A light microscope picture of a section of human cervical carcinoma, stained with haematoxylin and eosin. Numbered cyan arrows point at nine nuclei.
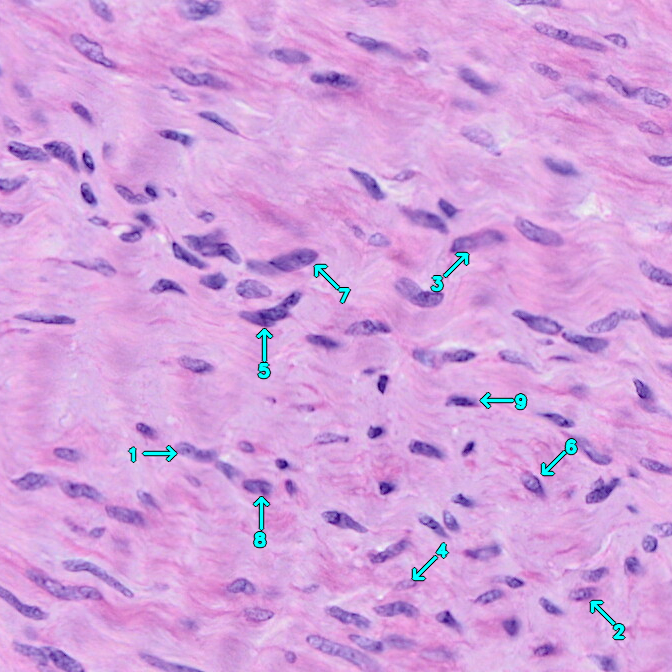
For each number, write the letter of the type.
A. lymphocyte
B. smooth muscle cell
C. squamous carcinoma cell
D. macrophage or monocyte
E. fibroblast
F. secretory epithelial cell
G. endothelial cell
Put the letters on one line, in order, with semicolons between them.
E; B; B; B; E; B; E; B; E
